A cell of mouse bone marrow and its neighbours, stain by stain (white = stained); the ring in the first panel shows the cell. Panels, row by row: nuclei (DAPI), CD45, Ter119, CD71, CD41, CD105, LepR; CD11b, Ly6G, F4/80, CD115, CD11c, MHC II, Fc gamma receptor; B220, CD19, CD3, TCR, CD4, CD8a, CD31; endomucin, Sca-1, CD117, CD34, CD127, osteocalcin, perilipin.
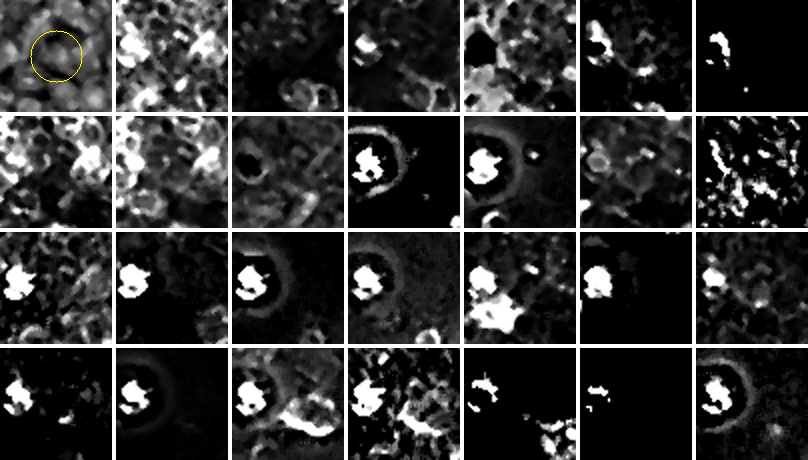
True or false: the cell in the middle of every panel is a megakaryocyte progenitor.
False; it is an erythroid progenitor (CFU-E).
